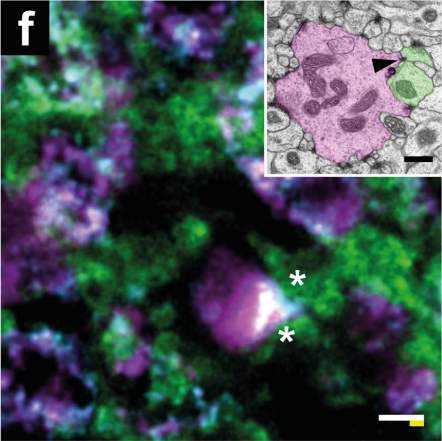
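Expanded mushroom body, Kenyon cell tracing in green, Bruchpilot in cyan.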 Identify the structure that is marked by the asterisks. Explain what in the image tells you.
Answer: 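Synaptic contacts. The asterisks sit where a magenta body meets green processes. Bright cyan-white spots lie at that border.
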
